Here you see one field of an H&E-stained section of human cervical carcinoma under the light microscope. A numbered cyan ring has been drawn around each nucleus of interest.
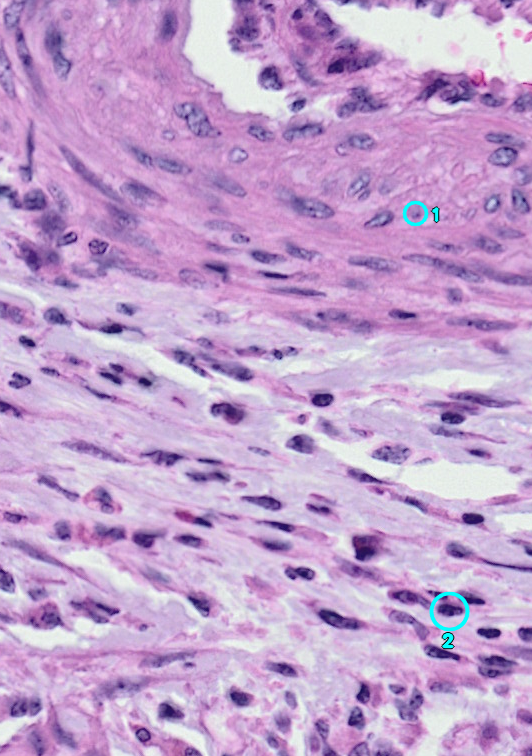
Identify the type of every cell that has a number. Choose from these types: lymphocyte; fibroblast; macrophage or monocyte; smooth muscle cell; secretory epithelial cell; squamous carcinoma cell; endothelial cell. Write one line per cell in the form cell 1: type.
cell 1: smooth muscle cell
cell 2: lymphocyte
